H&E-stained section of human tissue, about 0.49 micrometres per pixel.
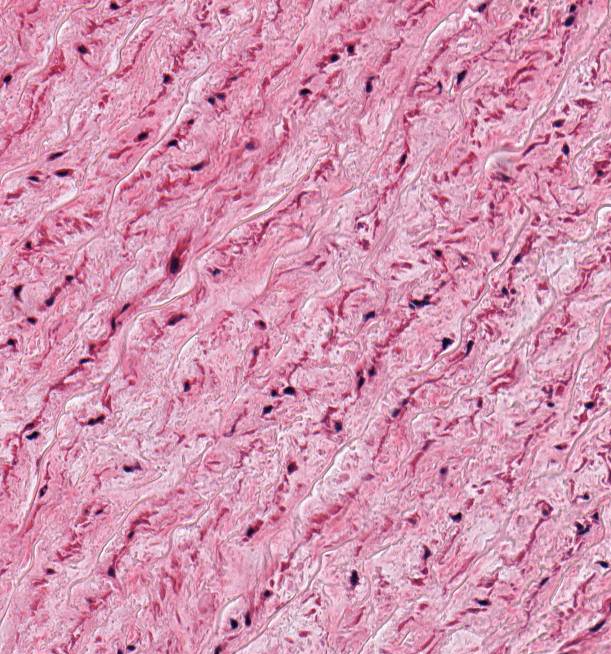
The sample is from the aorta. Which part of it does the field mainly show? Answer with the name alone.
tunica media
